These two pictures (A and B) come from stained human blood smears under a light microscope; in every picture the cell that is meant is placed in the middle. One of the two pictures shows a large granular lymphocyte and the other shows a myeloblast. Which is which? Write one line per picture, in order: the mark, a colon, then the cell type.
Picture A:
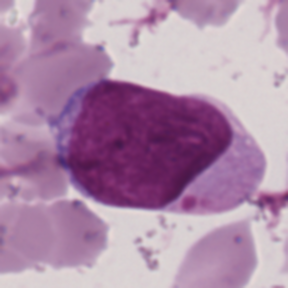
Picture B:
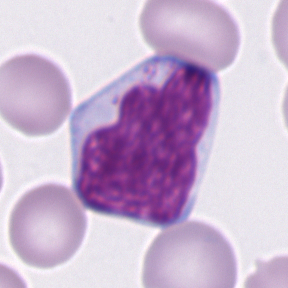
A: myeloblast
B: large granular lymphocyte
